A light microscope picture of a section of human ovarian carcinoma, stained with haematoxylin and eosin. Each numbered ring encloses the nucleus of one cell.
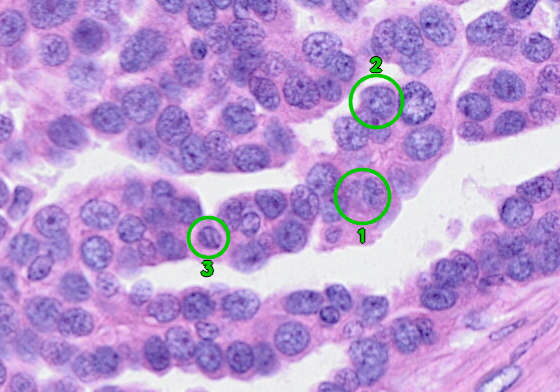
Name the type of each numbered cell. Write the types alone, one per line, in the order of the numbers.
carcinoma cell
carcinoma cell
macrophage or monocyte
